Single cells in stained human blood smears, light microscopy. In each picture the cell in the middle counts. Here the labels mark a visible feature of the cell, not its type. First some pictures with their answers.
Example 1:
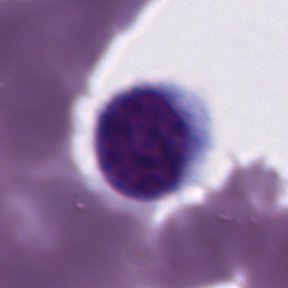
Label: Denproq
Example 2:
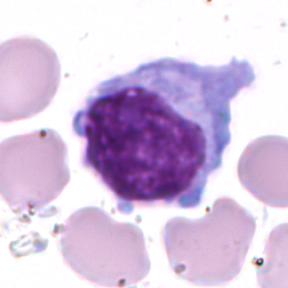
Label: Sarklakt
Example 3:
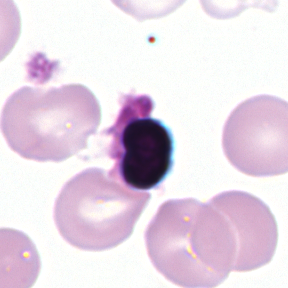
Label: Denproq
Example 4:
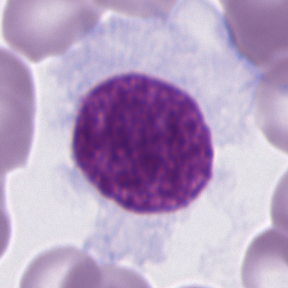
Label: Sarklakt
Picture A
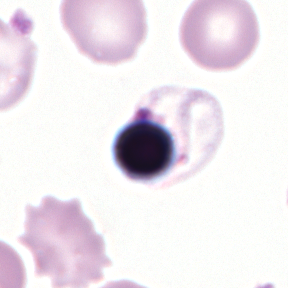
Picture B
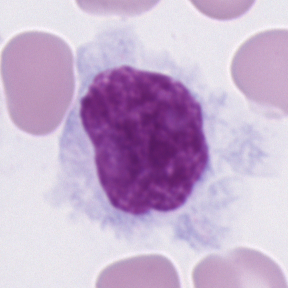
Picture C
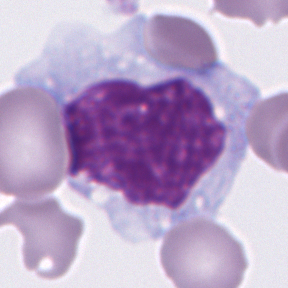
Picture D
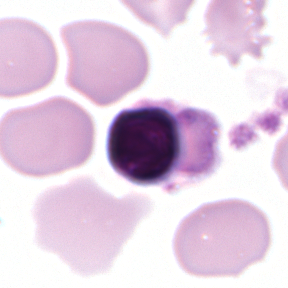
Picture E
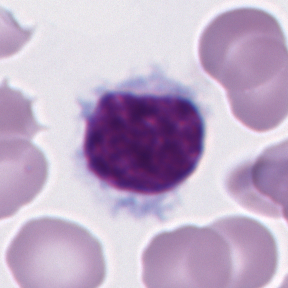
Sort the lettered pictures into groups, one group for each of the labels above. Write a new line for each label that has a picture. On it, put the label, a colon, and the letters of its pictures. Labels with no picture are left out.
Denproq: D, E
Sarklakt: A, B, C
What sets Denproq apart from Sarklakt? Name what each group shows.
Seen in Denproq: scant cytoplasm; seen in Sarklakt: abundant cytoplasm.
